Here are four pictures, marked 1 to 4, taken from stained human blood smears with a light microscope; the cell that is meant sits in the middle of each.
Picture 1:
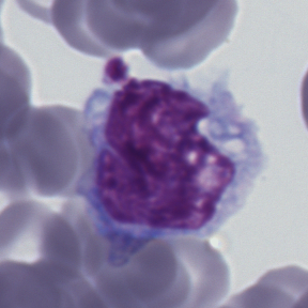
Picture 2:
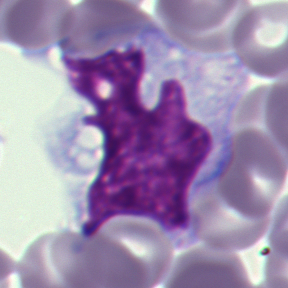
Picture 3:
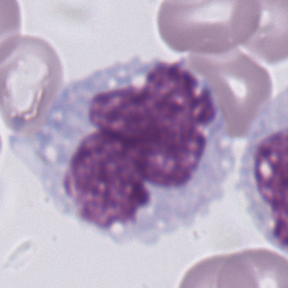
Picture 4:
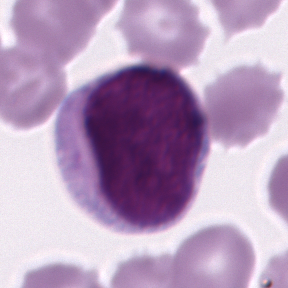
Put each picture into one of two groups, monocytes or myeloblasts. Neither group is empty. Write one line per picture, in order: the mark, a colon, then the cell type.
1: monocyte
2: monocyte
3: monocyte
4: myeloblast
